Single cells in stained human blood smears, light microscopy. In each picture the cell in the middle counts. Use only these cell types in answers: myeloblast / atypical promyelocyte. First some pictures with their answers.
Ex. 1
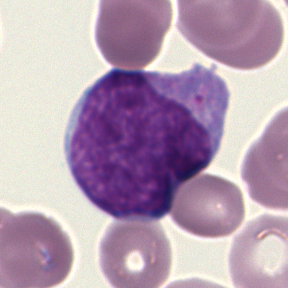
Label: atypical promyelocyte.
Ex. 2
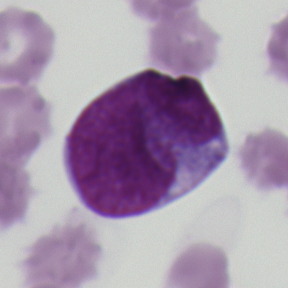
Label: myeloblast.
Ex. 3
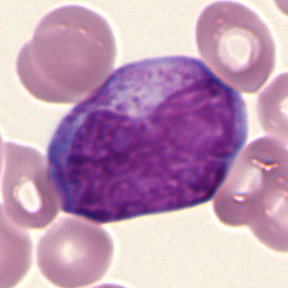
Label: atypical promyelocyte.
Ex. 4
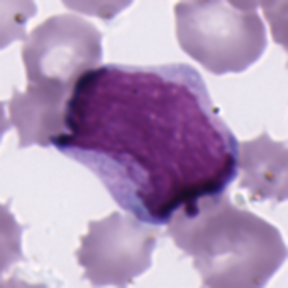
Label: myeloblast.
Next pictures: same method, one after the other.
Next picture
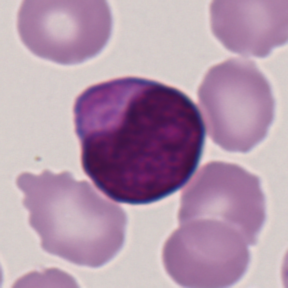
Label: myeloblast.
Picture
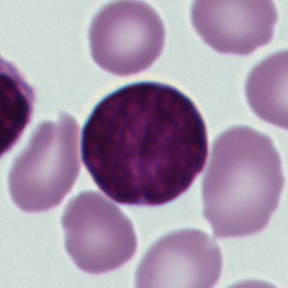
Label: myeloblast.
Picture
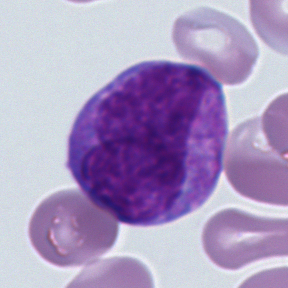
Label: atypical promyelocyte.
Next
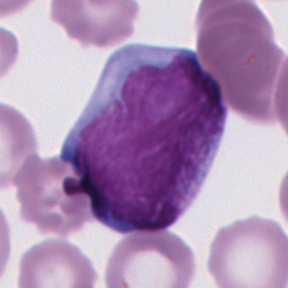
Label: myeloblast.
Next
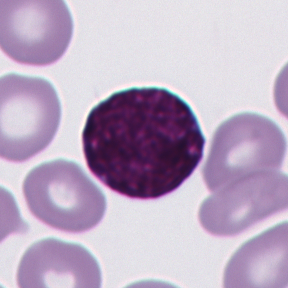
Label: myeloblast.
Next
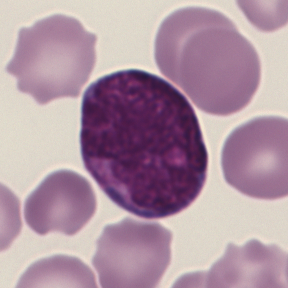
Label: myeloblast.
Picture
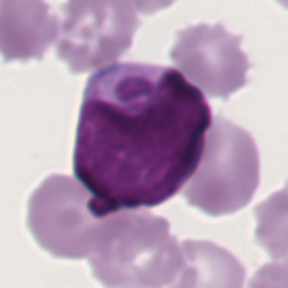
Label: myeloblast.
